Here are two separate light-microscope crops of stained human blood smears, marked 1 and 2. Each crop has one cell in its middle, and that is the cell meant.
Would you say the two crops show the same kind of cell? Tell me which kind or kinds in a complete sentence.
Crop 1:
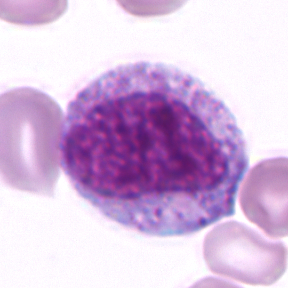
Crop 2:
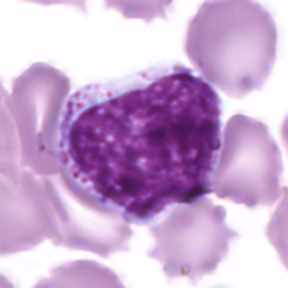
Yes, put down myelocytes for both crops.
